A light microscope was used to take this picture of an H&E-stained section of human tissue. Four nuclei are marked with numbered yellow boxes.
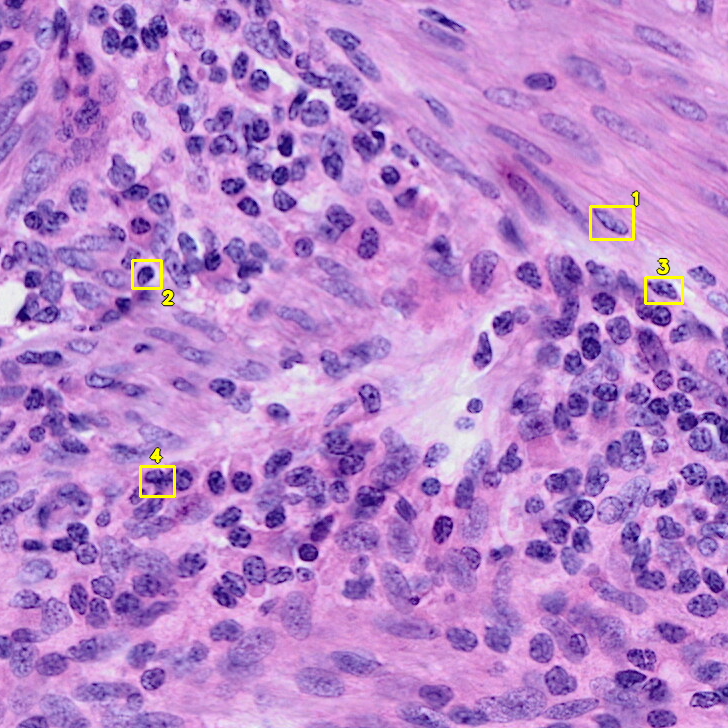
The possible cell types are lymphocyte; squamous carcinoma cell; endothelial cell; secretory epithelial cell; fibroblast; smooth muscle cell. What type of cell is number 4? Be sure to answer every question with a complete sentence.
The cell to which the number 4 is assigned is a lymphocyte.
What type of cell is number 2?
The cell carrying label 2 is identified as a lymphocyte.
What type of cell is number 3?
The cell that goes by number 3 is a lymphocyte.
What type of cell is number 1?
Cell 1 of the marked set is a smooth muscle cell.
